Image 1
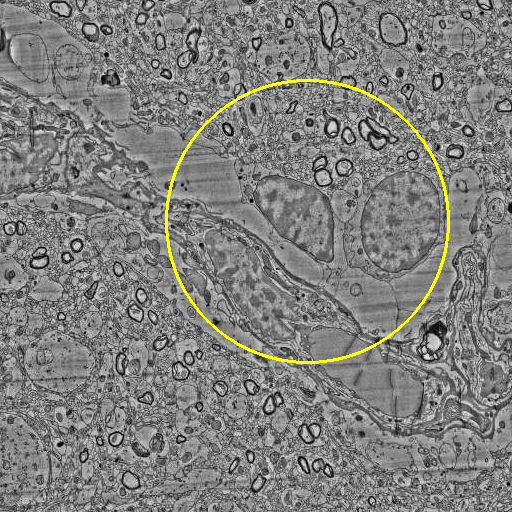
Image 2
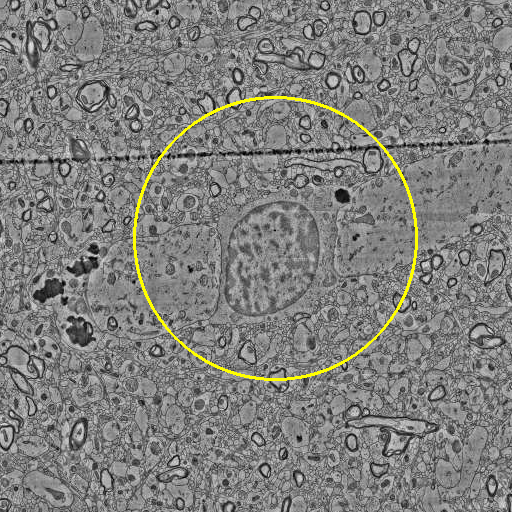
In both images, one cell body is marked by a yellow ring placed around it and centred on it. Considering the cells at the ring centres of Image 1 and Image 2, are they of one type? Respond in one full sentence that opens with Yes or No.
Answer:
No, two types apply to the ring-centred cells of Image 1 and Image 2.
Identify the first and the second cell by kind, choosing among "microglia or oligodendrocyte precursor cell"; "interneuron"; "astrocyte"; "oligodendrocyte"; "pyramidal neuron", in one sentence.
The one in the first picture is a microglial cell or oligodendrocyte precursor cell, while the one in the second is an oligodendrocyte.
